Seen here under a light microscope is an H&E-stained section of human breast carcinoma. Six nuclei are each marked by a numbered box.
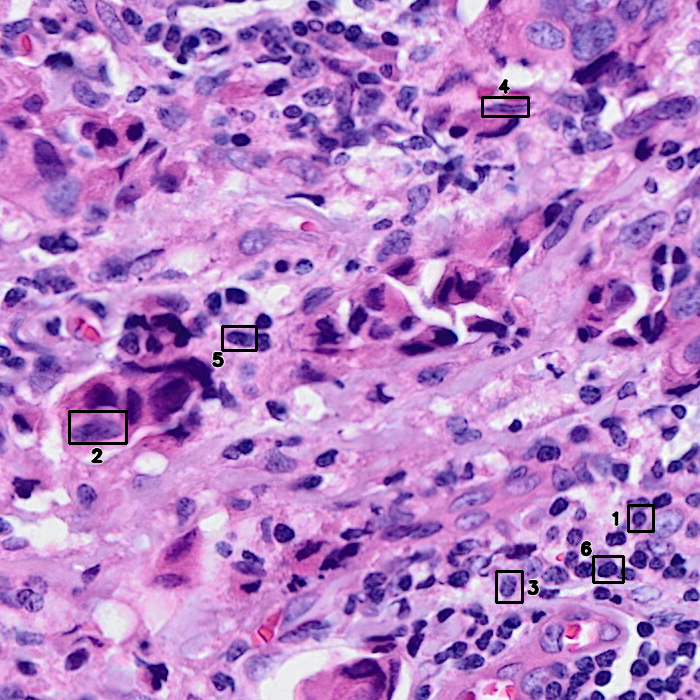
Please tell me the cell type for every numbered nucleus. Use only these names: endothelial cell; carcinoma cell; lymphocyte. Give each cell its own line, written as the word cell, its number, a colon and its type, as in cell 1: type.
cell 1: lymphocyte
cell 2: carcinoma cell
cell 3: lymphocyte
cell 4: endothelial cell
cell 5: lymphocyte
cell 6: lymphocyte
